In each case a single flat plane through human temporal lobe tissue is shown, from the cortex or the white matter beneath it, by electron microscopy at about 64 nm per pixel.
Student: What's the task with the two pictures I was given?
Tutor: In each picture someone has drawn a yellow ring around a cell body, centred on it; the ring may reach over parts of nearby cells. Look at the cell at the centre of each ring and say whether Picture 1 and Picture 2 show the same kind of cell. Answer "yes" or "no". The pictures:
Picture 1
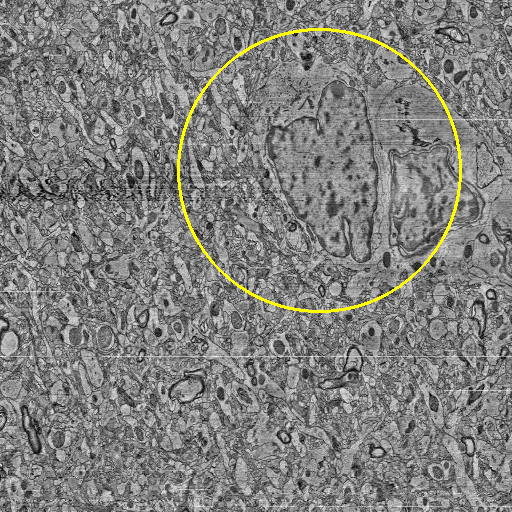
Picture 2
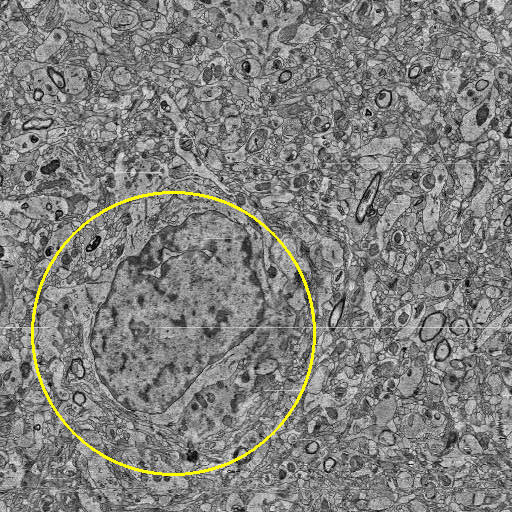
yes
